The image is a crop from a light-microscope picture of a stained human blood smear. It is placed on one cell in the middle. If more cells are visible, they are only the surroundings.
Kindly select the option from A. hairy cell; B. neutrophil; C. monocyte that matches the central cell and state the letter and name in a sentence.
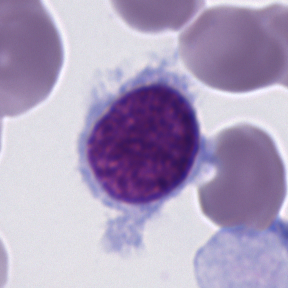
The correct identification, given in option A, is that the central cell is a hairy cell.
